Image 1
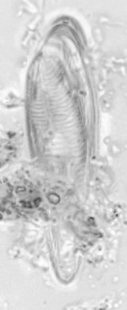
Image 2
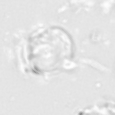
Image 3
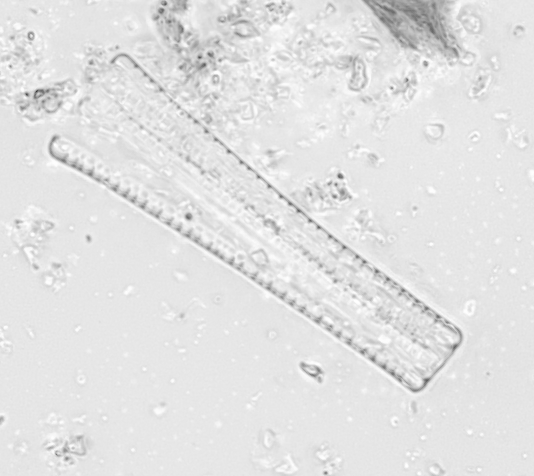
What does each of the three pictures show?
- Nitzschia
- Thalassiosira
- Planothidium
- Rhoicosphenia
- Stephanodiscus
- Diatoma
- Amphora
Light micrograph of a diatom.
Picture 1: Rhoicosphenia
Picture 2: Thalassiosira
Picture 3: Diatoma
